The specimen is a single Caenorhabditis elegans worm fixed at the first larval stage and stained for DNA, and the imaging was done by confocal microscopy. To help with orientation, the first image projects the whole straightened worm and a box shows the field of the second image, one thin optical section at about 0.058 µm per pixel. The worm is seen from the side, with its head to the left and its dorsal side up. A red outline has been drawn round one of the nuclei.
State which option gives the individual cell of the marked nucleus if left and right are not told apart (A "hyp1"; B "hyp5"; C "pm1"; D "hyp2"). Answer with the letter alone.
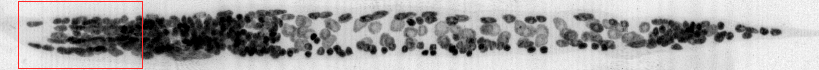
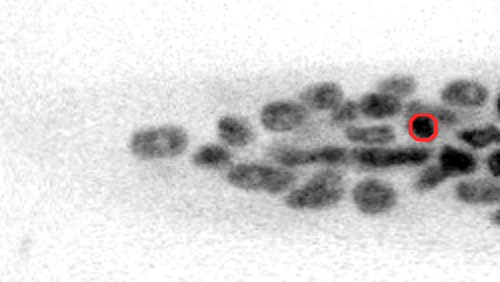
C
